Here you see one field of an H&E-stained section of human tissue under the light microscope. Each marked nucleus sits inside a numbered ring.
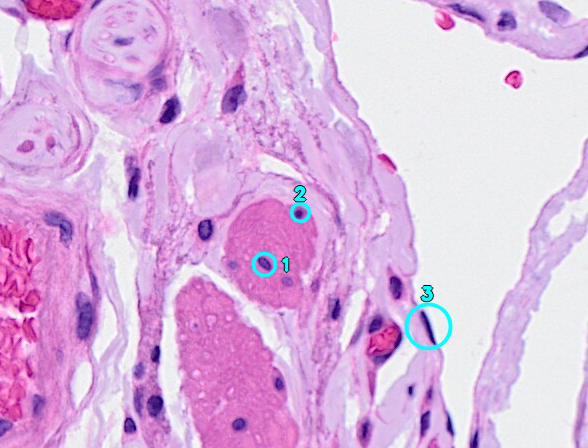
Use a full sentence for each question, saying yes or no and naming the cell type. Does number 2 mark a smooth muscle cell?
Yes, the cell with the number 2 is a smooth muscle cell.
